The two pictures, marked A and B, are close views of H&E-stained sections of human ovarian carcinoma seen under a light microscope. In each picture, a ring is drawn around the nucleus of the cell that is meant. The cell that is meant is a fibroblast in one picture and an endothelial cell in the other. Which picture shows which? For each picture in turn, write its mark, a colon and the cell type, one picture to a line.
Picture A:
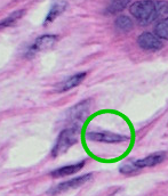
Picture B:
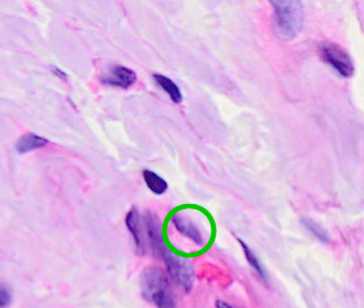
A: fibroblast
B: endothelial cell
